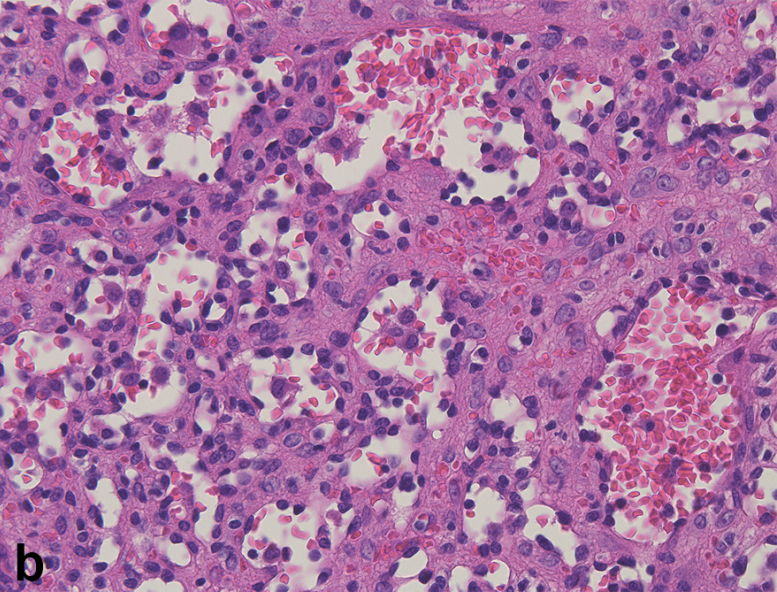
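A tumour made of closely packed, interconnecting capillary vessels of various sizes, lined by hobnail endothelial cells. The vascular spaces range from small slits to larger rounded channels, many filled with bright red blood cells, and they join one another in a sponge-like network. Between them run thin septa of pink stroma with scattered spindle-shaped and oval cells. The lining cells have dark, rounded to oval nuclei that bulge into the lumina, giving a studded, hobnail look, with scant pale cytoplasm. Nuclei are fairly uniform in size without obvious marked atypia.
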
